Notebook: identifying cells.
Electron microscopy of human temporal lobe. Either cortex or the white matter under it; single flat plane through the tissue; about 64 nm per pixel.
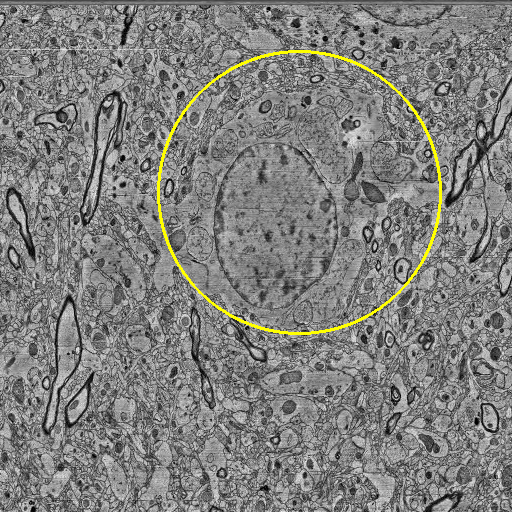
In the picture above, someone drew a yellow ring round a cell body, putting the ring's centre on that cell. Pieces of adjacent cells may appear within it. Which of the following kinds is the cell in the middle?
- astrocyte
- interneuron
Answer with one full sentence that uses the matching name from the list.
In this picture, the yellow ring is centred on the body of an astrocyte.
